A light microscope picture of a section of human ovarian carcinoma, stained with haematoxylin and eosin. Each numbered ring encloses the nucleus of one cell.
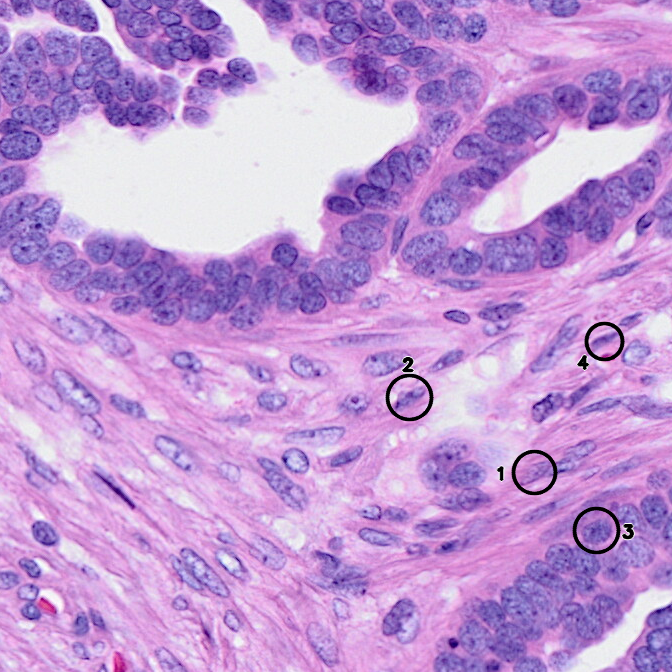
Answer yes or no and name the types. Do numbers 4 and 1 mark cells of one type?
Yes, the two numbered cells, 4 and 1, are both fibroblasts.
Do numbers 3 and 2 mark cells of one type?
No, sorry to say, cell 3 is a carcinoma cell and cell 2 is a fibroblast.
